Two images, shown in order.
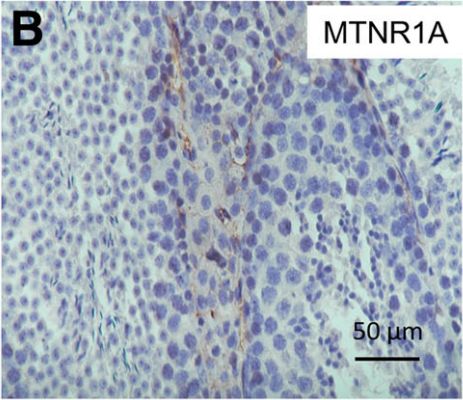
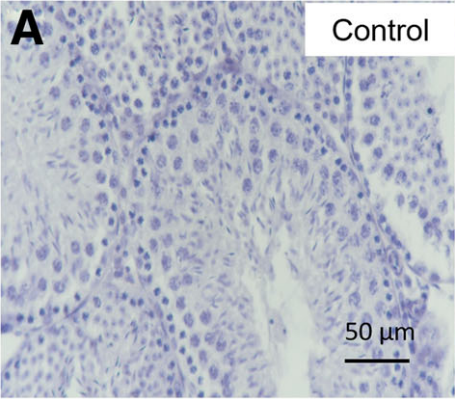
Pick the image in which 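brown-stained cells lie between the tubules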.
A: the first image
